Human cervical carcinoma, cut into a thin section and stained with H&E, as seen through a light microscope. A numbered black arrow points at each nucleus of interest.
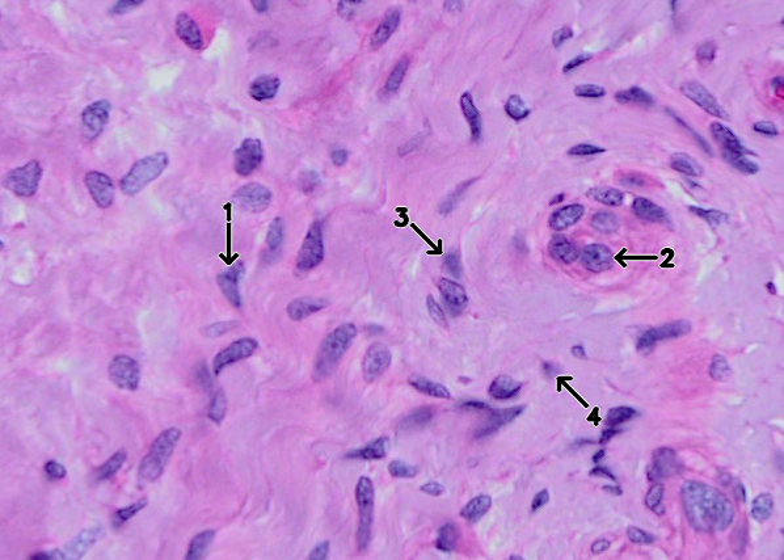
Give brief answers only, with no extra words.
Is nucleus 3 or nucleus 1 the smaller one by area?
3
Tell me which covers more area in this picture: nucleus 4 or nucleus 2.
2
